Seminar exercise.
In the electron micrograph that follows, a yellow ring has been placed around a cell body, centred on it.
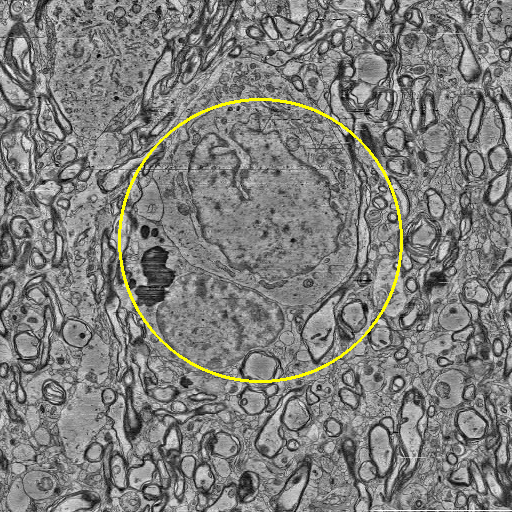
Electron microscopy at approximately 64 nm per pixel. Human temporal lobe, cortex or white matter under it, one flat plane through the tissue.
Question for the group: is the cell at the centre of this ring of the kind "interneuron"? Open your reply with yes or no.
Yes, the cell in the ring's centre is of that kind.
